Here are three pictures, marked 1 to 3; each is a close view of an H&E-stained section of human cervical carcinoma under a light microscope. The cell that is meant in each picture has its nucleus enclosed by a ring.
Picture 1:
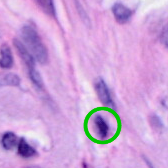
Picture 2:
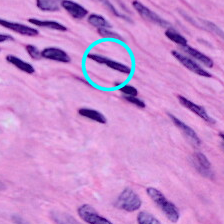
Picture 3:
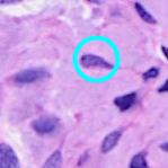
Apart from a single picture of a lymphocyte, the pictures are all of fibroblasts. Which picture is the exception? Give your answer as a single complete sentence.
Picture 1 shows the lymphocyte.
